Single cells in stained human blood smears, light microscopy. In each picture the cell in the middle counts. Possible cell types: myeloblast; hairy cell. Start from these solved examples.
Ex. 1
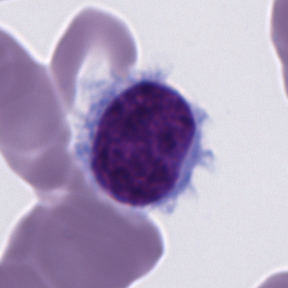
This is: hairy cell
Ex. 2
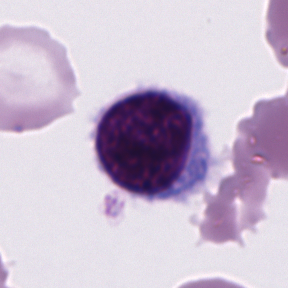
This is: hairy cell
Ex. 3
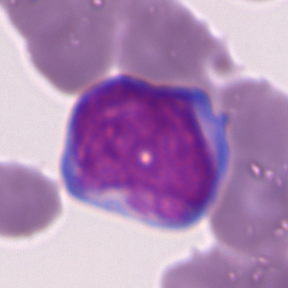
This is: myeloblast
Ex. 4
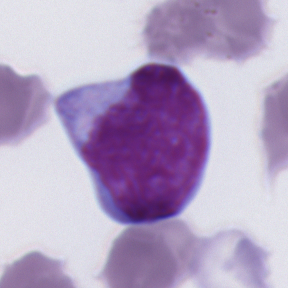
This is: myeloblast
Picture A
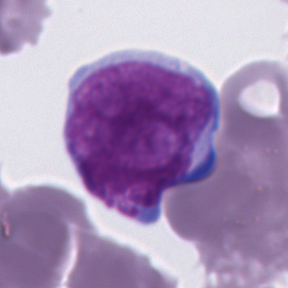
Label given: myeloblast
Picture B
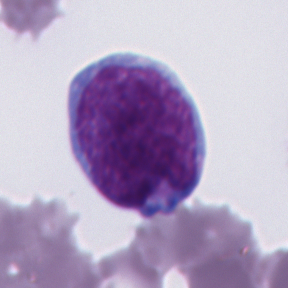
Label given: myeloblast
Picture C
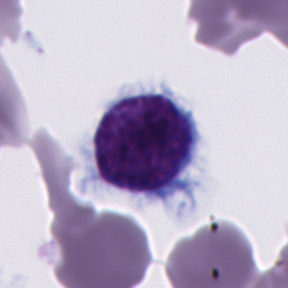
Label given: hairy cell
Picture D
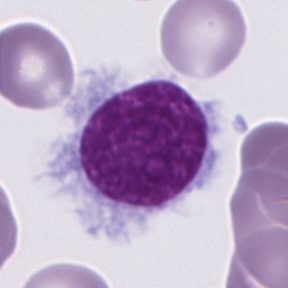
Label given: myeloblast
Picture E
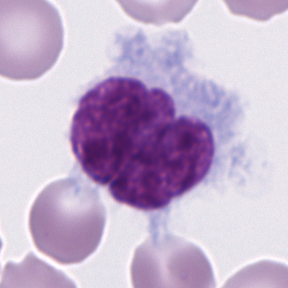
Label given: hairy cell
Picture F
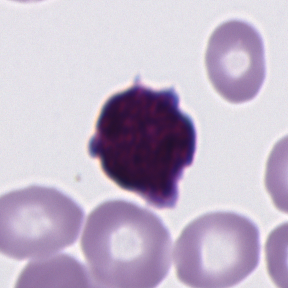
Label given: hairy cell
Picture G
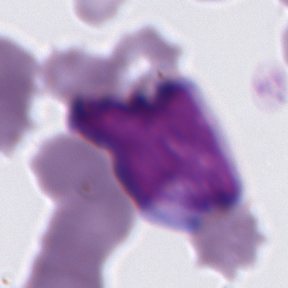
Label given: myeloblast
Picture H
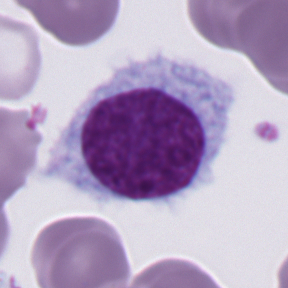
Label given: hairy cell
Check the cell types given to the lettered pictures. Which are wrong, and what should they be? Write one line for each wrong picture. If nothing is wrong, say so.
D is labelled myeloblast; correct label: hairy cell
F is labelled hairy cell; correct label: myeloblast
